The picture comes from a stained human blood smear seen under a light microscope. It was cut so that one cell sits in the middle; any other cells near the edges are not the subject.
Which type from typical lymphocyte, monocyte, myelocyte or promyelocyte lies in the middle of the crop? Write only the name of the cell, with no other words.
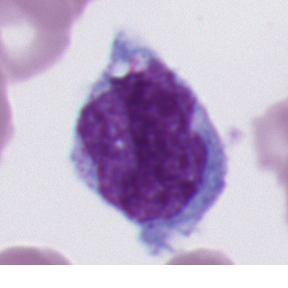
monocyte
